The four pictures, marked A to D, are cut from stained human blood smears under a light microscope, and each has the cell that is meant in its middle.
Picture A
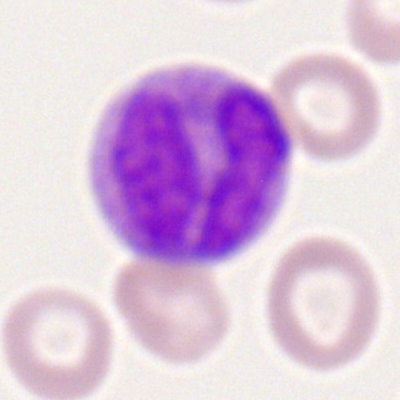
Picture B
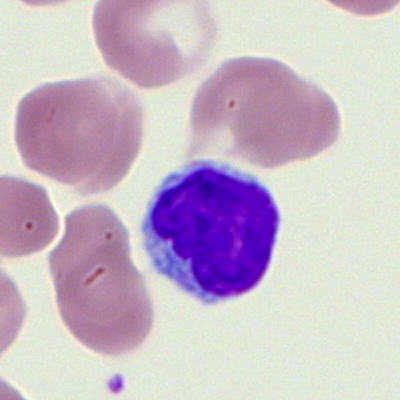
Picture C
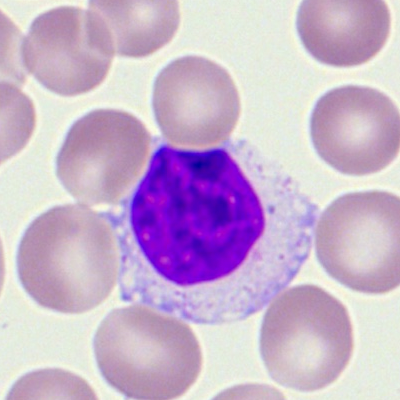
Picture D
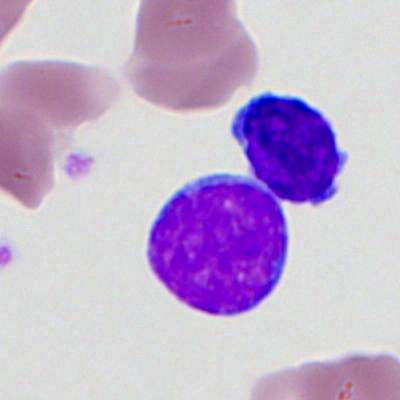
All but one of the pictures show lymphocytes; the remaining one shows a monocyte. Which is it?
A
